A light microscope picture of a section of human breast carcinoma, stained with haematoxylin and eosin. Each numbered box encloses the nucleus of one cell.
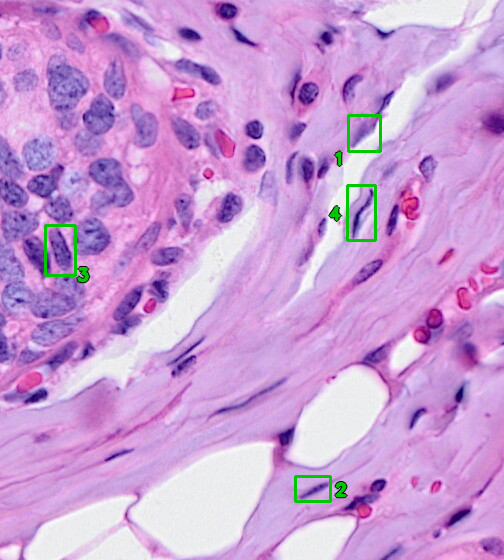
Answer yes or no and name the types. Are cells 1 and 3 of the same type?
No, cell 1 is a fibroblast, but cell 3 is a carcinoma cell.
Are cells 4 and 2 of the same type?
Yes, the cell marked 4 and the cell marked 2 are both fibroblasts.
